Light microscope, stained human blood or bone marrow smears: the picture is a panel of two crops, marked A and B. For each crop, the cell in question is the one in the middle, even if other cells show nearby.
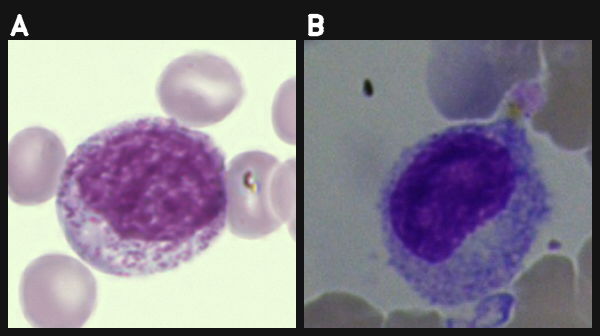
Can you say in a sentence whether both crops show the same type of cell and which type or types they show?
Yes, as an answer for this item, both crops show myelocytes.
